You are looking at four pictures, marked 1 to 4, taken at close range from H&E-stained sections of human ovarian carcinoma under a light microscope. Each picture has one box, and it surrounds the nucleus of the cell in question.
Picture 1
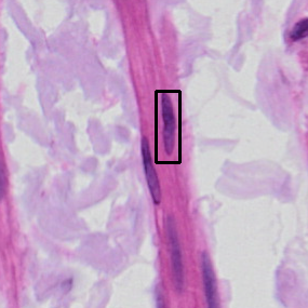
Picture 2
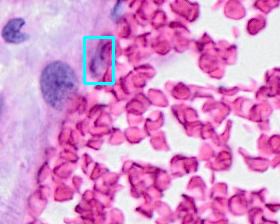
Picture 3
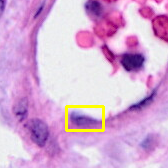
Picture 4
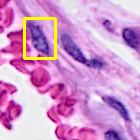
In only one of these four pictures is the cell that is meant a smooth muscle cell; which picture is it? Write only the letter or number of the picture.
1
